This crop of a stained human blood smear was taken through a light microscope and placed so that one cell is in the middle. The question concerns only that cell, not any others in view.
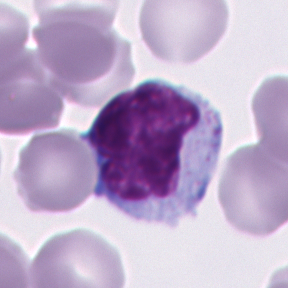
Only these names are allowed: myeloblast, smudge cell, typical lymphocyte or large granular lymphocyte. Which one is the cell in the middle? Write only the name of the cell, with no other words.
typical lymphocyte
